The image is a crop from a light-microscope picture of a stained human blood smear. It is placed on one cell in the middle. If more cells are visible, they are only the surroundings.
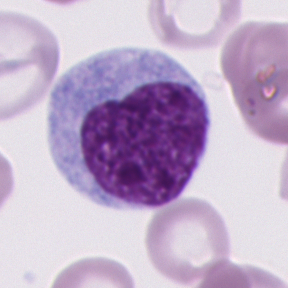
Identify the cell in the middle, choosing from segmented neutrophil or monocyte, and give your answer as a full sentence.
Whatever else lies nearby, the middle cell is a monocyte.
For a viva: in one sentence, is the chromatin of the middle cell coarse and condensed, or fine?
You can see that its chromatin is coarsely clumped.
